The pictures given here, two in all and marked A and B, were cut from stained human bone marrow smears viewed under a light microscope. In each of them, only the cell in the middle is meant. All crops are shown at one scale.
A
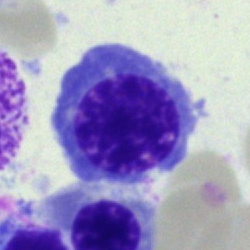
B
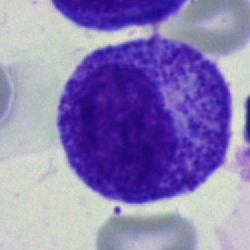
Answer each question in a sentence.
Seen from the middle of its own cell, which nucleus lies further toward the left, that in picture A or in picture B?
Seen within its cell, the nucleus in picture B lies further toward the left.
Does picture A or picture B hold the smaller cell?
Smaller is the cell in picture A, and the other is about 1.5 times as large in area.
